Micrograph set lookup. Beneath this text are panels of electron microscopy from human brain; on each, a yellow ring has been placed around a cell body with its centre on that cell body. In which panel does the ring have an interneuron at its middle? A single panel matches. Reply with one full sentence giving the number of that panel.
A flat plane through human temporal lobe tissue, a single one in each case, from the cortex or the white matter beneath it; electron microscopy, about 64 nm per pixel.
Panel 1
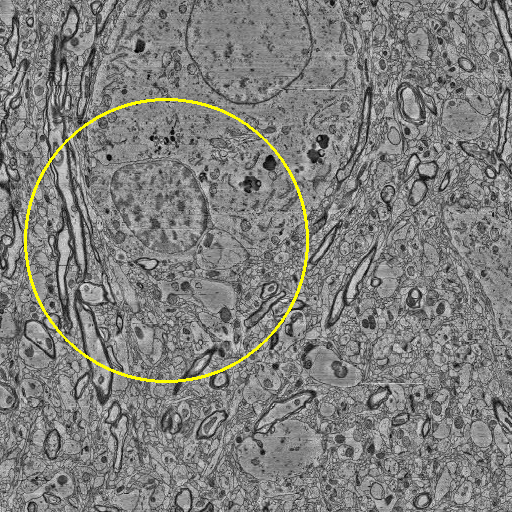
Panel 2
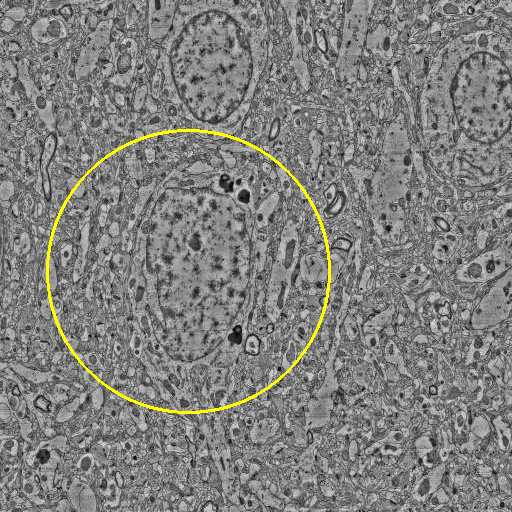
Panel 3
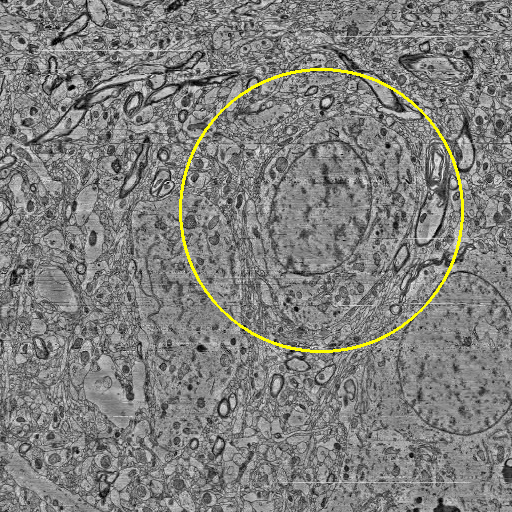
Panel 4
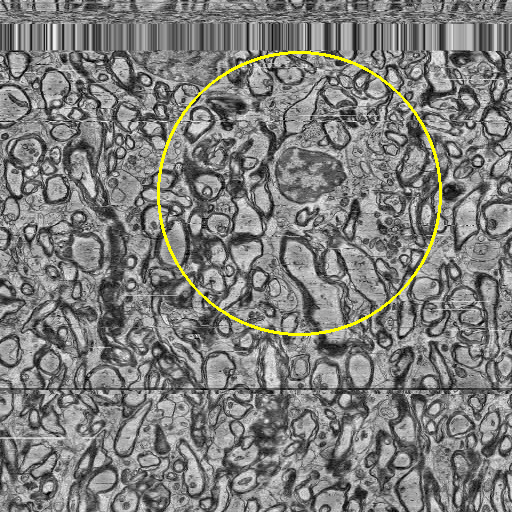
Panel 2 is the one whose ring has the sought cell at its centre.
